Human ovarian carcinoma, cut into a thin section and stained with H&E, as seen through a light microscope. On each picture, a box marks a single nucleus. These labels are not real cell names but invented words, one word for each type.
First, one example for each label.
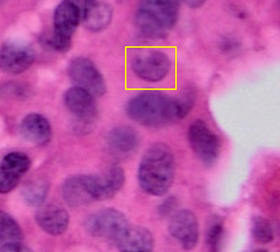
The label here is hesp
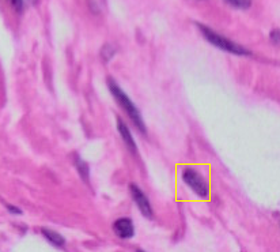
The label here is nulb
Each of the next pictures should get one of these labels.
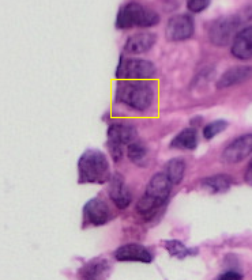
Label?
hesp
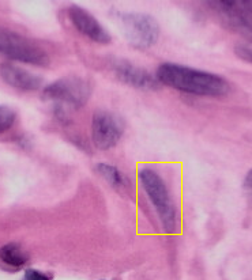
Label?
nulb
